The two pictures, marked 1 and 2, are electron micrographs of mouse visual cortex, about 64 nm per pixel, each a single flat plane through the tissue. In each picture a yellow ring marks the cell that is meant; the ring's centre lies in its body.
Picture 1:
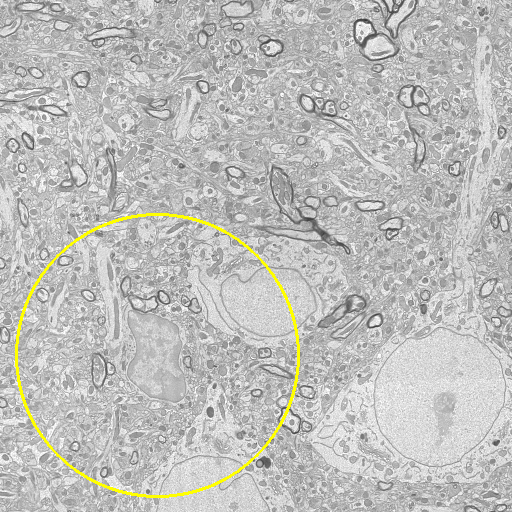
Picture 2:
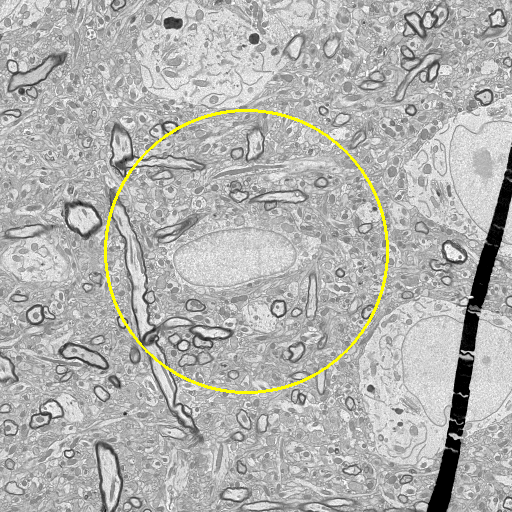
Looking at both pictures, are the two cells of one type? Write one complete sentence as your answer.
No, the types are not the same, since picture 1 shows a microglial cell and picture 2 an astrocyte.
